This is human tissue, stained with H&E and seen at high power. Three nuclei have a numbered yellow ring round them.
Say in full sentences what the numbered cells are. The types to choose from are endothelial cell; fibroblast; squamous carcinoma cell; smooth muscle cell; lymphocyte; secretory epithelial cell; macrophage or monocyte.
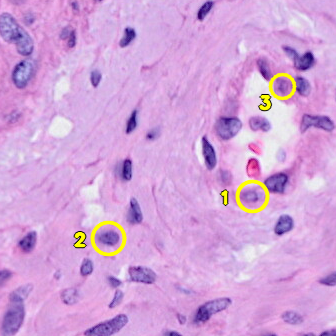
Cell 1 is an endothelial cell, cell 2 is a fibroblast and cell 3 is an endothelial cell.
